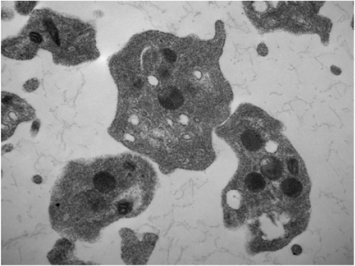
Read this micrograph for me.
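Sectioned platelets: small anucleate cell fragments with irregular outlines and short projections at their edges. Their grey cytoplasm holds round, electron-dense granules of varying darkness alongside clear, empty-looking vacuoles.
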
